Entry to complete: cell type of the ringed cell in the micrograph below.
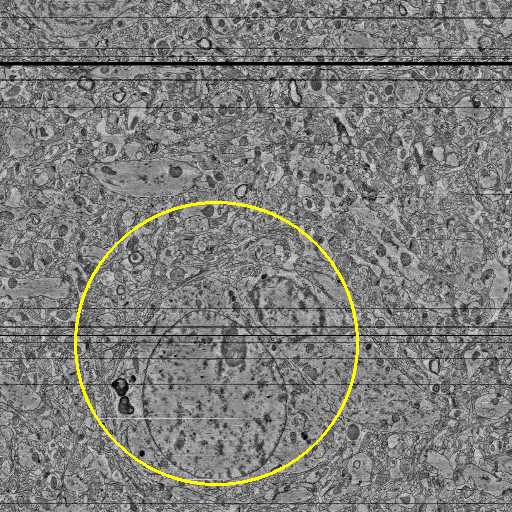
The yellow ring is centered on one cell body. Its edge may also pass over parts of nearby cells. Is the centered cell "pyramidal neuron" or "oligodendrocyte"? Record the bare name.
pyramidal neuron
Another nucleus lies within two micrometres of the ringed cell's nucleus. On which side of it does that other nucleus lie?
The other nucleus is positioned to the upper right of it.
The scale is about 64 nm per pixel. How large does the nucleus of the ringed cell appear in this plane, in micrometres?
In this plane, about 12 micrometres in length and 10 in width.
